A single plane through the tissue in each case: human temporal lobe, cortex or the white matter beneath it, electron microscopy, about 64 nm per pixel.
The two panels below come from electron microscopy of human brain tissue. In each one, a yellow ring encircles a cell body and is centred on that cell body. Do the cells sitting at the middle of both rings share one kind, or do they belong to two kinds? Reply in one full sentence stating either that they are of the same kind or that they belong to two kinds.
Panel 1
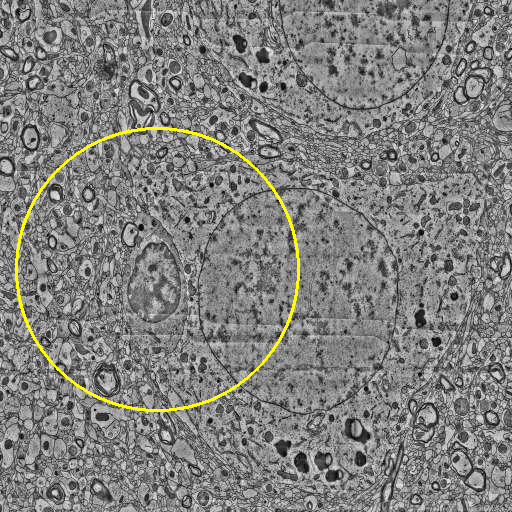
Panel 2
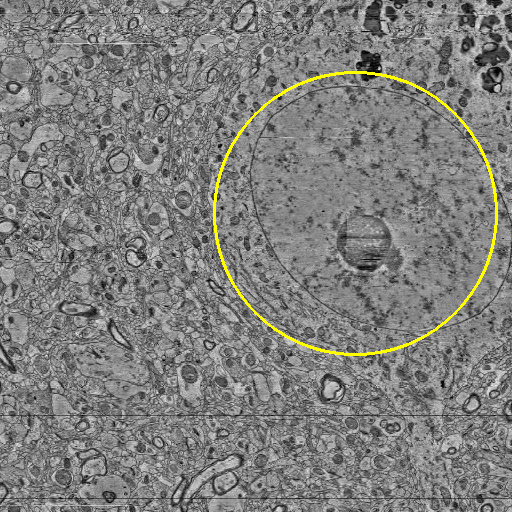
The cells at the centres of the two rings belong to two kinds.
